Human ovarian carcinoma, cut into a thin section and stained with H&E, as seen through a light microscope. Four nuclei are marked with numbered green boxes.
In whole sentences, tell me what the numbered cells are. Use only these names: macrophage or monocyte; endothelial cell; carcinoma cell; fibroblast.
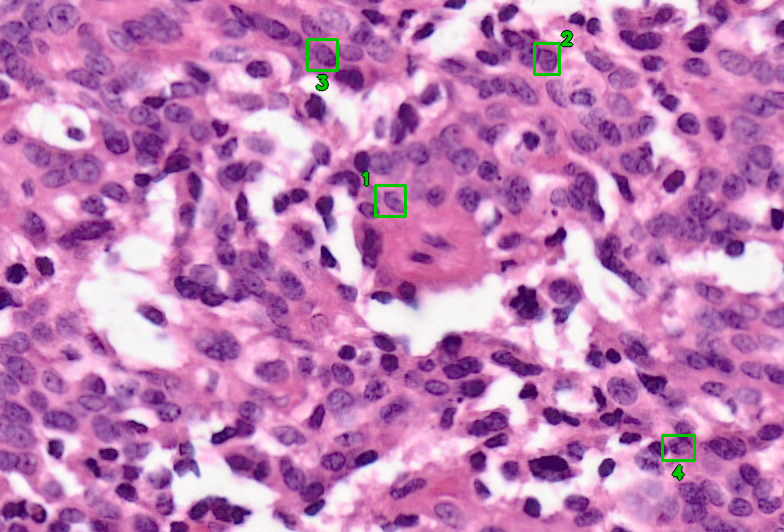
Cell 1 is a macrophage or monocyte, cell 2 is a carcinoma cell, cell 3 is a carcinoma cell and cell 4 is a carcinoma cell.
